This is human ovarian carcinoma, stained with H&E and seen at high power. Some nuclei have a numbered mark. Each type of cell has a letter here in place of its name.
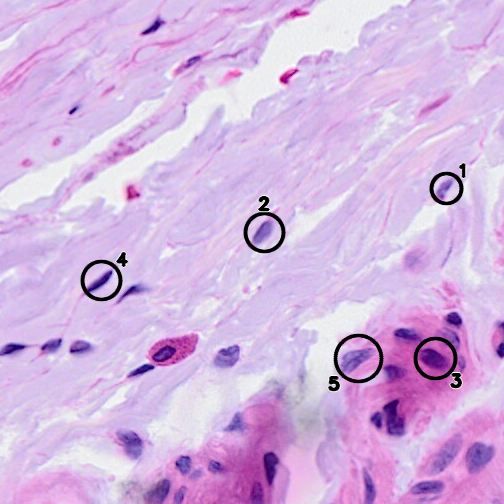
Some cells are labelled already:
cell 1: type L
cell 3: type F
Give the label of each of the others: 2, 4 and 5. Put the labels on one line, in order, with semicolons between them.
type L; type L; type F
